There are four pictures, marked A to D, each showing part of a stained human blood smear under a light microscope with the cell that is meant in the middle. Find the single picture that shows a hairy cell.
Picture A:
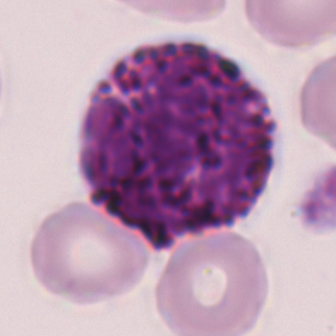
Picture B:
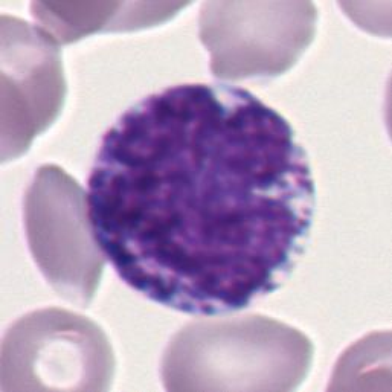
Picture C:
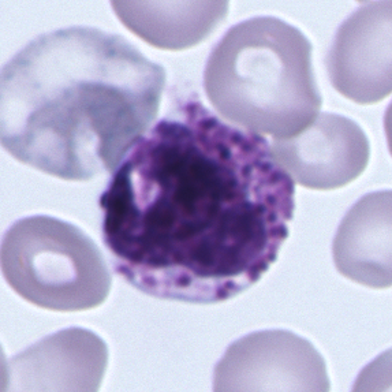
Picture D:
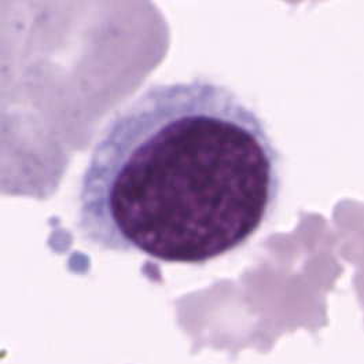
D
